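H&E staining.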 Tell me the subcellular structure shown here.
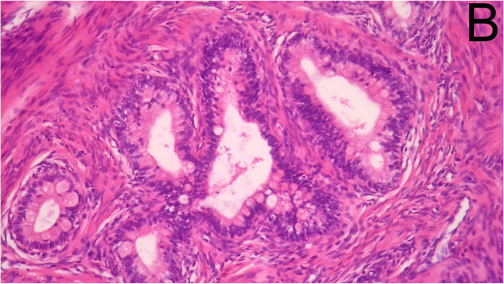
Intracellular mucus.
